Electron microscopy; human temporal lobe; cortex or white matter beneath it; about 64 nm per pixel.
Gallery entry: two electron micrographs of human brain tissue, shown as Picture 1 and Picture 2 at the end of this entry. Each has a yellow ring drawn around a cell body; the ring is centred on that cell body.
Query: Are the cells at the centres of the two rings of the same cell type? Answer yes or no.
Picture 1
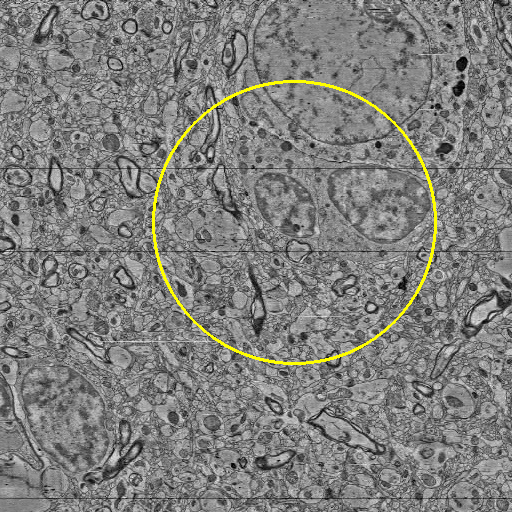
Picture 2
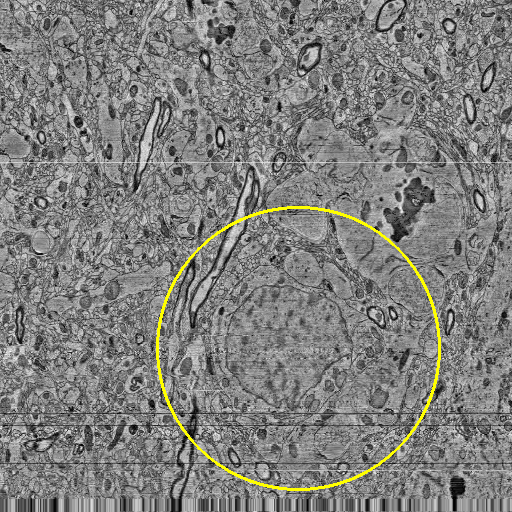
no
